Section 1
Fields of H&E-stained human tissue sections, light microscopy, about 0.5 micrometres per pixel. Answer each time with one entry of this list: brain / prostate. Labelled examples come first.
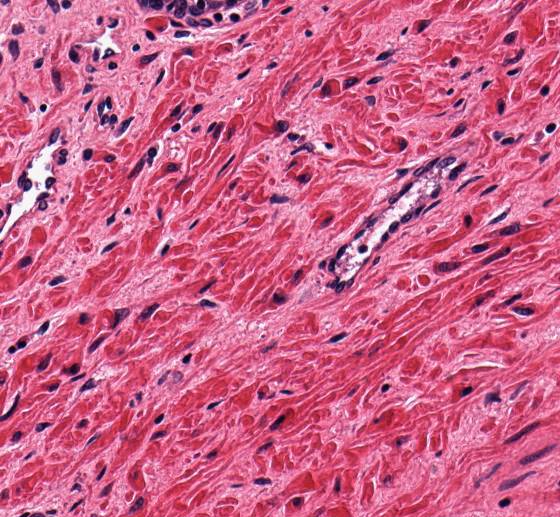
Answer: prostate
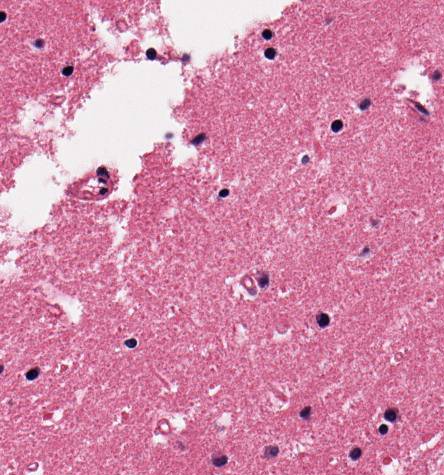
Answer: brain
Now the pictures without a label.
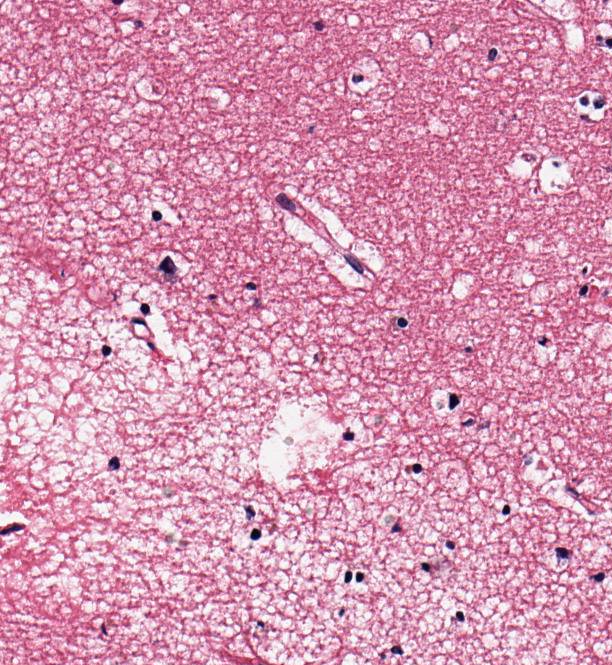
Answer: brain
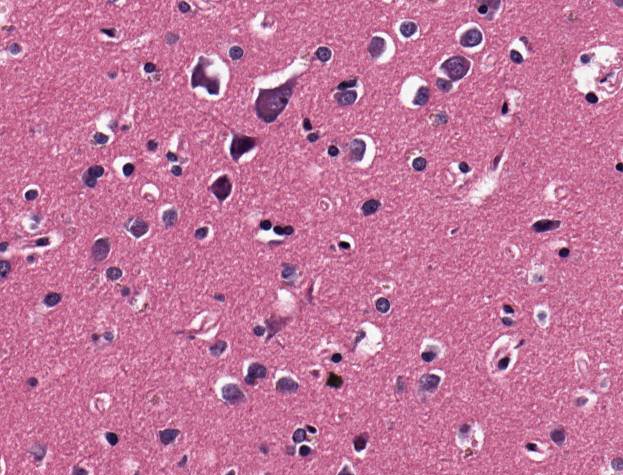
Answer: brain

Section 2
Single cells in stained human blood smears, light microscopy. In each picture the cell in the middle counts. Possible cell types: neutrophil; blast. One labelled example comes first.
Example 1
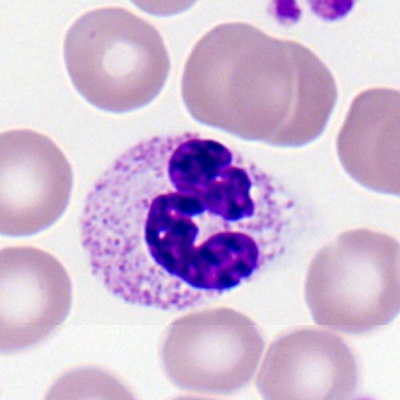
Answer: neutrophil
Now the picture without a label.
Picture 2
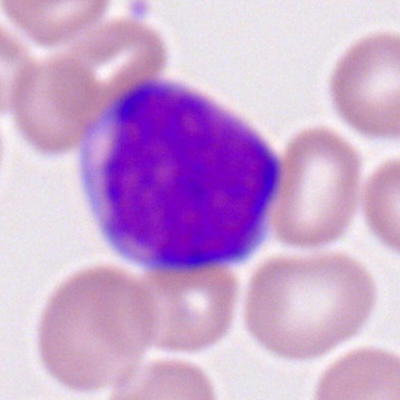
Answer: blast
